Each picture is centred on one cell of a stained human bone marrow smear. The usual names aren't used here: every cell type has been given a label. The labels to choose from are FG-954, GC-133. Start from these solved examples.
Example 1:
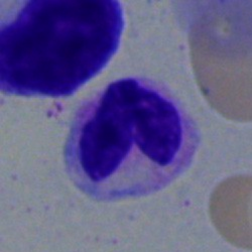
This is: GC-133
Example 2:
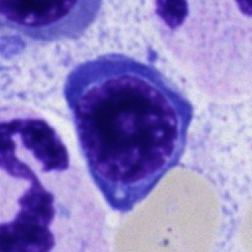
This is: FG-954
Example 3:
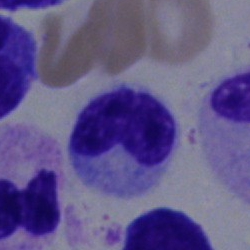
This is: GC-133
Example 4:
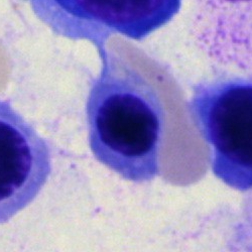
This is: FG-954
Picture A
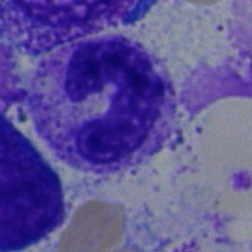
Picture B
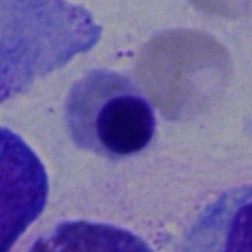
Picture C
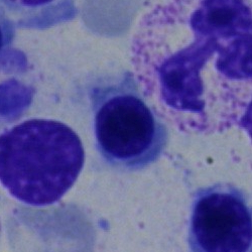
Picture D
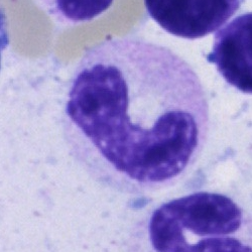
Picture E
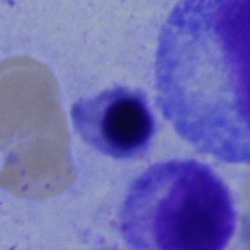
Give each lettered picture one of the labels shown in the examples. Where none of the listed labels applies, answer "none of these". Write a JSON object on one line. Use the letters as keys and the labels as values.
{"A": "GC-133", "B": "FG-954", "C": "FG-954", "D": "GC-133", "E": "FG-954"}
